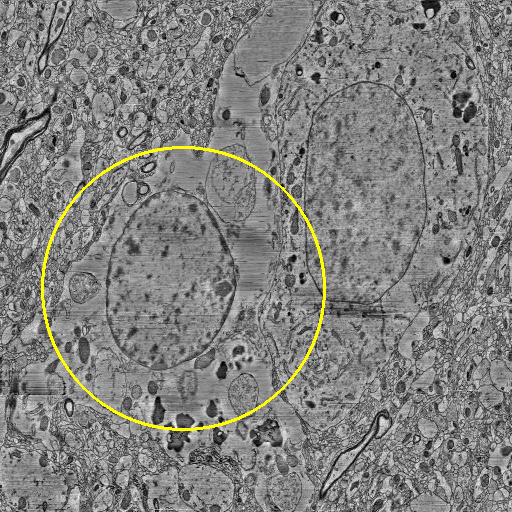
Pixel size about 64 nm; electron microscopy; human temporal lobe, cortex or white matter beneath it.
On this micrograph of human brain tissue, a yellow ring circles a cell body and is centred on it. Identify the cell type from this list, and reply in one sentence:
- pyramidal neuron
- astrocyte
The cell at the centre is an astrocyte.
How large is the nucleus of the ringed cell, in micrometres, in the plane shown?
In this plane, the nucleus of the cell at the centre of the ring measures about 12 by 8 micrometres.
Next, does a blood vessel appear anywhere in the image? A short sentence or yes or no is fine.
Yes, the image shows a blood vessel.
